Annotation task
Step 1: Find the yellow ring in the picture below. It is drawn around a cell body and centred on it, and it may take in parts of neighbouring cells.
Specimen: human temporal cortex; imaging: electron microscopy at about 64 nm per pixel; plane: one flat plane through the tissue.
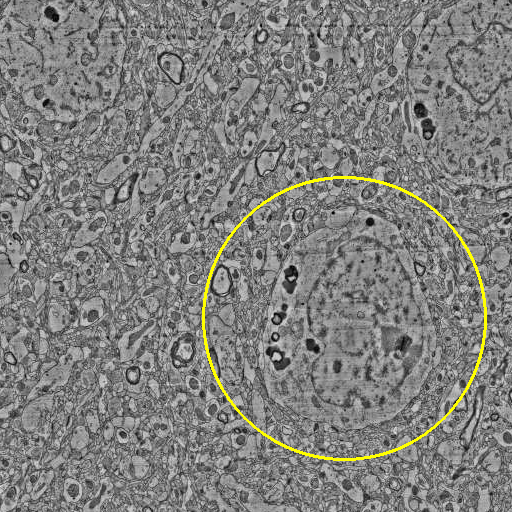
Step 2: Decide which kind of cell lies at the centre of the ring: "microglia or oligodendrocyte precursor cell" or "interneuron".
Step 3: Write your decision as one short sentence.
The kind of cell at the ring's centre is an interneuron.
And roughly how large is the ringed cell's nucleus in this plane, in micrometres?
About 11 by 7 micrometres in this plane.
